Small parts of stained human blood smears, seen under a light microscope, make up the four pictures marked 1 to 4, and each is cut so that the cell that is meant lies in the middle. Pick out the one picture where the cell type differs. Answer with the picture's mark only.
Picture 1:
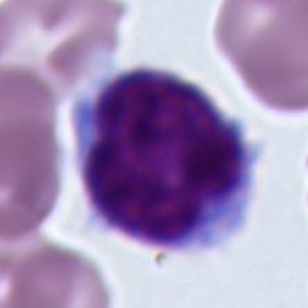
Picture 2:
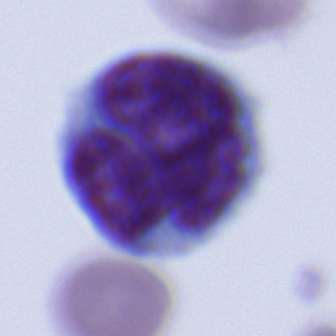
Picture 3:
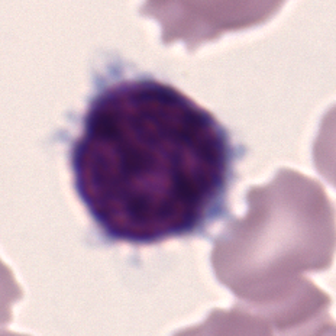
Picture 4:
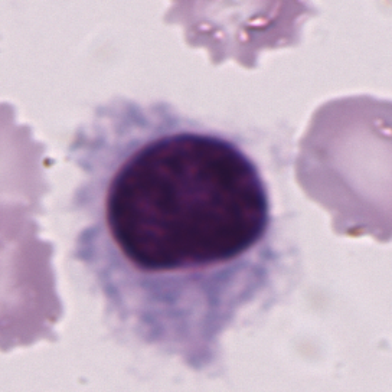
2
